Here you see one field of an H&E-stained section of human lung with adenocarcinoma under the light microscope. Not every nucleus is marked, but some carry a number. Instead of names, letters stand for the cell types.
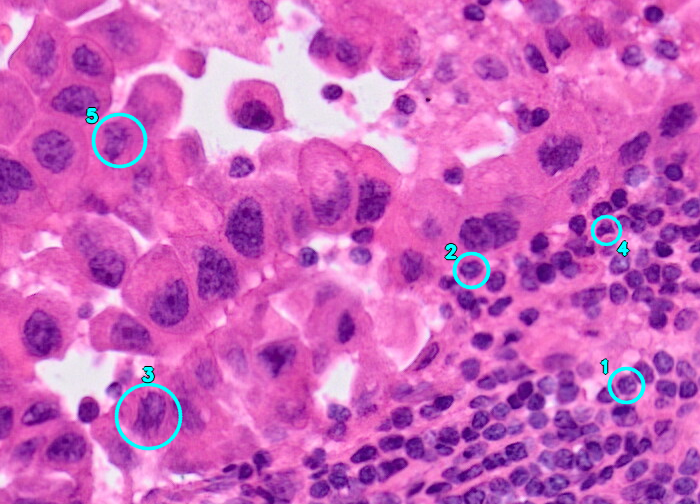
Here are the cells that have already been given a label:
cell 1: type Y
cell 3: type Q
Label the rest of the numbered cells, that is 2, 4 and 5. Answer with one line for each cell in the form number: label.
2: type Y
4: type Y
5: type Q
